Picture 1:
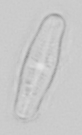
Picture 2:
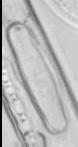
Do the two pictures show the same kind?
No: Sellaphora, then Achnanthidium.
